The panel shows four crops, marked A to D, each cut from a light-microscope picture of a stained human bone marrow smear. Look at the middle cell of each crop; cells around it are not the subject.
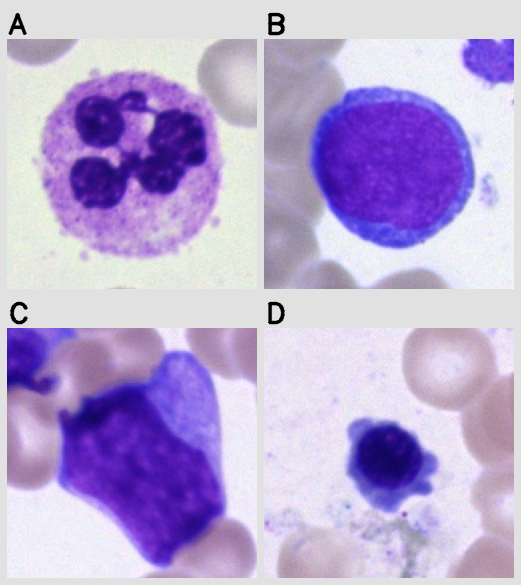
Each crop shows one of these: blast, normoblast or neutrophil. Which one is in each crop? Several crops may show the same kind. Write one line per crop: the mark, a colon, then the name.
A: neutrophil
B: blast
C: blast
D: normoblast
